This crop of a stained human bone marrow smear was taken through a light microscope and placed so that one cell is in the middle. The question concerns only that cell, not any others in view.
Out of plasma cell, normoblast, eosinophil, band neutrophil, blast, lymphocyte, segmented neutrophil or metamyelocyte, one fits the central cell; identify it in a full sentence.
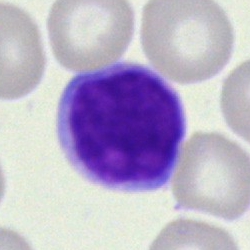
Of the cells in this crop, the central one is a lymphocyte.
